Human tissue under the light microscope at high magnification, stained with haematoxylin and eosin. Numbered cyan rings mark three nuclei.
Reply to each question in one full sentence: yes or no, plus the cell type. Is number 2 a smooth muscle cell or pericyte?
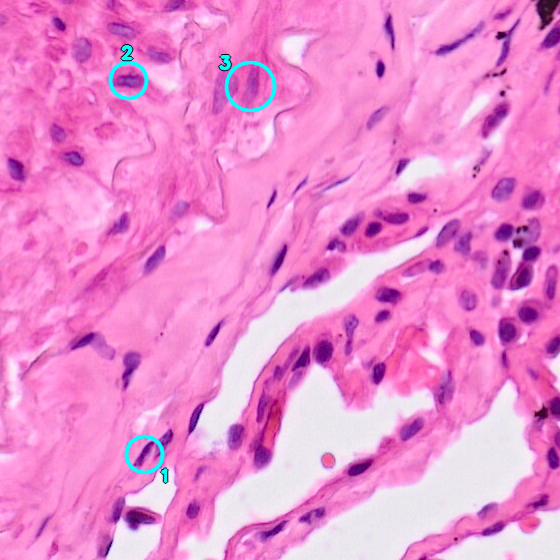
Yes, to put it simply, cell number 2 is a smooth muscle cell or pericyte.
